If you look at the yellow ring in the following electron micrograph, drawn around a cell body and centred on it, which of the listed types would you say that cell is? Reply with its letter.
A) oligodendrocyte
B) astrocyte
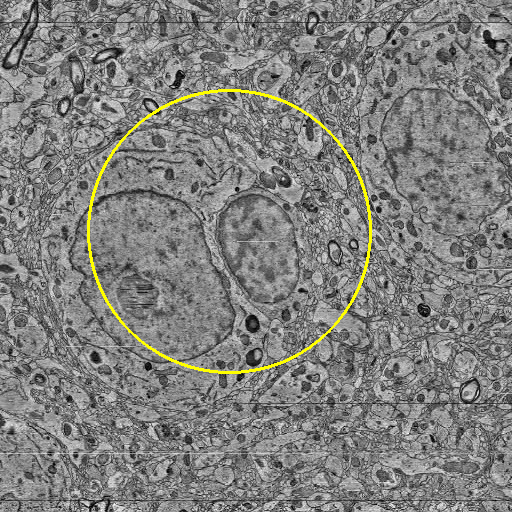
A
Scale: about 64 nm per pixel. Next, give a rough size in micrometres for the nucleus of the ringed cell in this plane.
Approximately 7 x 5 micrometres in this plane.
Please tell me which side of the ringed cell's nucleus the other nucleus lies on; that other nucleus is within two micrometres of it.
The other nucleus is located to the left of it.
